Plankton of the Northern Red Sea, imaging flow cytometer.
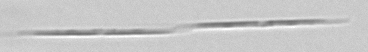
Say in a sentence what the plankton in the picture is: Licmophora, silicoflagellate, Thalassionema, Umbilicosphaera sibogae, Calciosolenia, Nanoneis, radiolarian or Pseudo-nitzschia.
This is Pseudo-nitzschia.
